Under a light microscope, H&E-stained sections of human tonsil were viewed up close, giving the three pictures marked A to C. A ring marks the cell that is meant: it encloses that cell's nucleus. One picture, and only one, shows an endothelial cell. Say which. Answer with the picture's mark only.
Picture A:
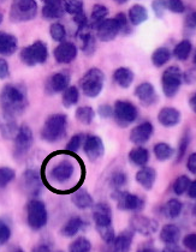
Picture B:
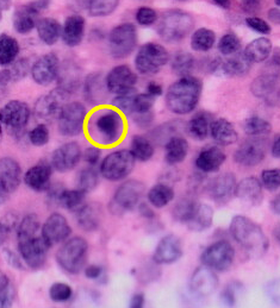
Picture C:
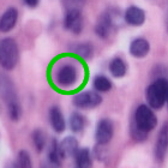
C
